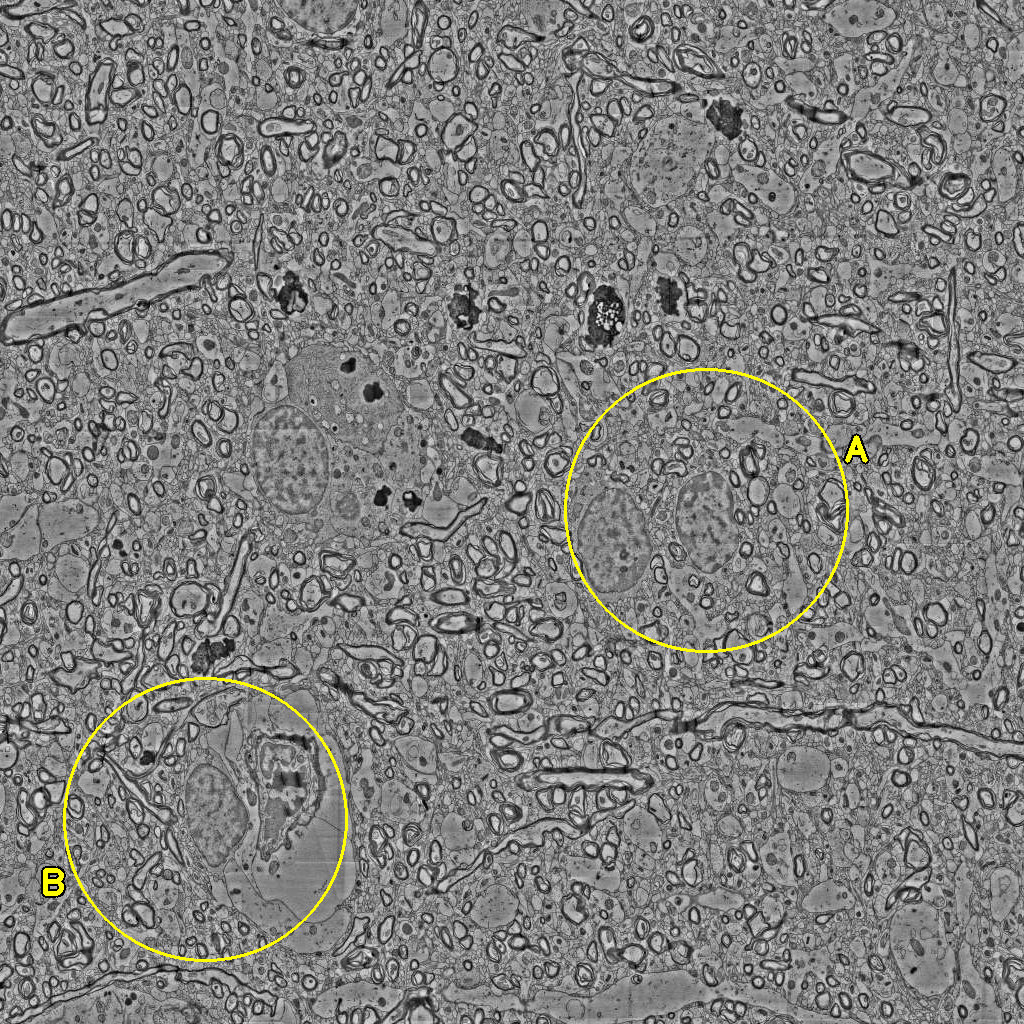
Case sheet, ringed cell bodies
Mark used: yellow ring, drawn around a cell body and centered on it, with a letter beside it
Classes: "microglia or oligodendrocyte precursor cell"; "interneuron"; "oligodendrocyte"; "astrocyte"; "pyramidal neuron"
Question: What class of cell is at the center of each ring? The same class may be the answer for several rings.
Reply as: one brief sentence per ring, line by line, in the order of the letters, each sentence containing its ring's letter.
Ring A has a microglial cell or oligodendrocyte precursor cell at its center.
Ring B has an oligodendrocyte at its center.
